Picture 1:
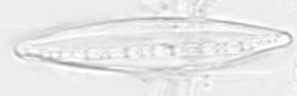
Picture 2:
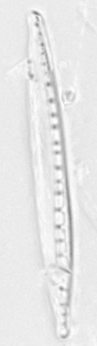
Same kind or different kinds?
Same: Nitzschia.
